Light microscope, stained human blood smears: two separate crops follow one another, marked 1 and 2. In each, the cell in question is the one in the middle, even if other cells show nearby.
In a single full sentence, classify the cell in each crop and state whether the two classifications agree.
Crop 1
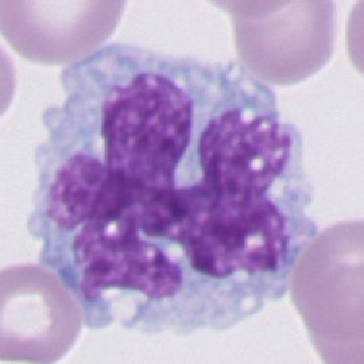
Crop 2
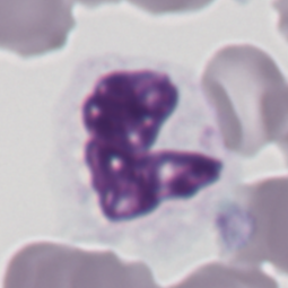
No, on this set crop 1 shows a monocyte and crop 2 shows a segmented neutrophil.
